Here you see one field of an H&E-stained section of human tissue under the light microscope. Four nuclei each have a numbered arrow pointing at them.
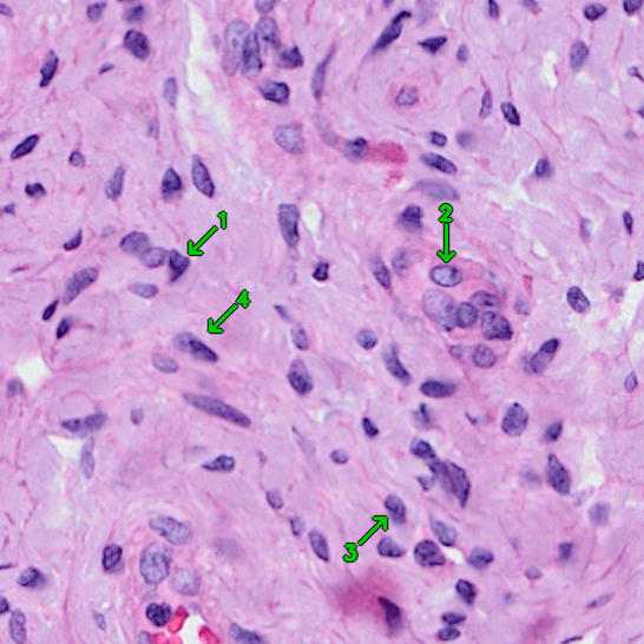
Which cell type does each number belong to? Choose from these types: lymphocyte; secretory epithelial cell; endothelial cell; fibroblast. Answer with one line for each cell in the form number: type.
1: fibroblast
2: endothelial cell
3: fibroblast
4: fibroblast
